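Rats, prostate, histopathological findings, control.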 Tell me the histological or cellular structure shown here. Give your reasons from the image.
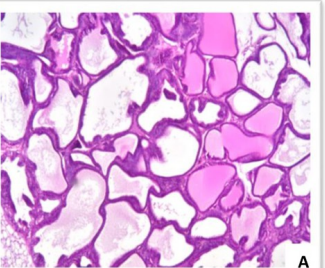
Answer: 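Eosinophilic secretion. Several gland lumina are filled with homogeneous pink material. The pink material lies inside the spaces lined by epithelium.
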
